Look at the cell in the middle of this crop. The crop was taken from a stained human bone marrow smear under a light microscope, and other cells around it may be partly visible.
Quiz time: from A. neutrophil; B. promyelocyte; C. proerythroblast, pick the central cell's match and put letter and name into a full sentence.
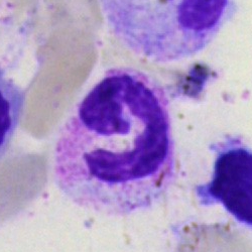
For this crop, option A is right, the centered cell being a neutrophil.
